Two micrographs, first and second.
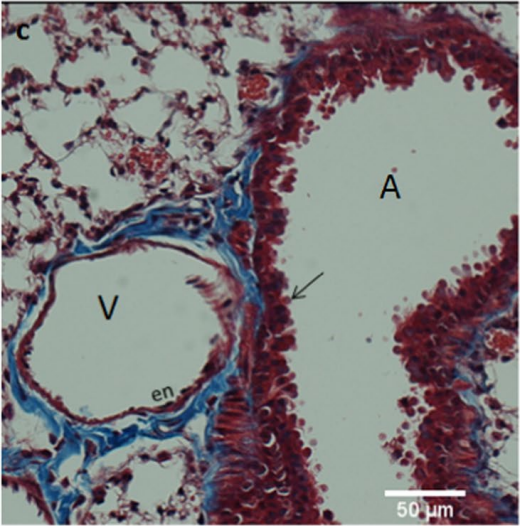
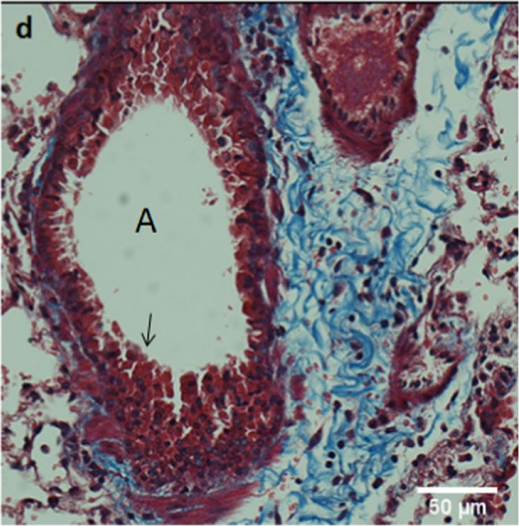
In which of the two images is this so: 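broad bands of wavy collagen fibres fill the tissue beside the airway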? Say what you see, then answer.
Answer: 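Second image: a wide field of loose wavy blue fibres lies beside the airway. First image: blue fibres form only a thin rim around the vessel and airway. On this evidence: the second image.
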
